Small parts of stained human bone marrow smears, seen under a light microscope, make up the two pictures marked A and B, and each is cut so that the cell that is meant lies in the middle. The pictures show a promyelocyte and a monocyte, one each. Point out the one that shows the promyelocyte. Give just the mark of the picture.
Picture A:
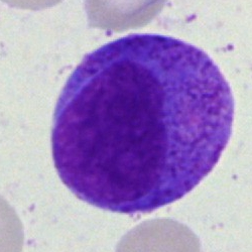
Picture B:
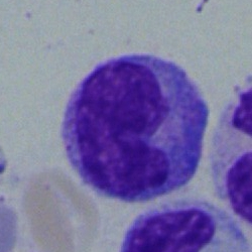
A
